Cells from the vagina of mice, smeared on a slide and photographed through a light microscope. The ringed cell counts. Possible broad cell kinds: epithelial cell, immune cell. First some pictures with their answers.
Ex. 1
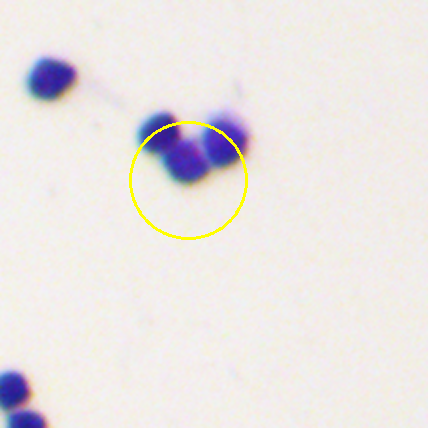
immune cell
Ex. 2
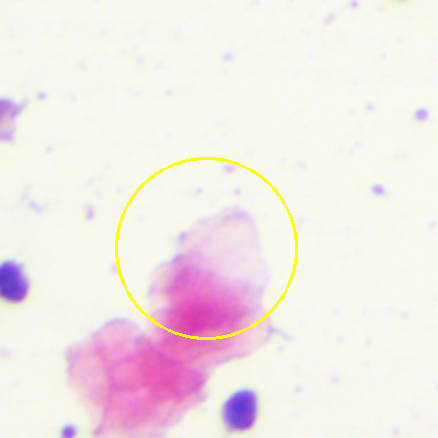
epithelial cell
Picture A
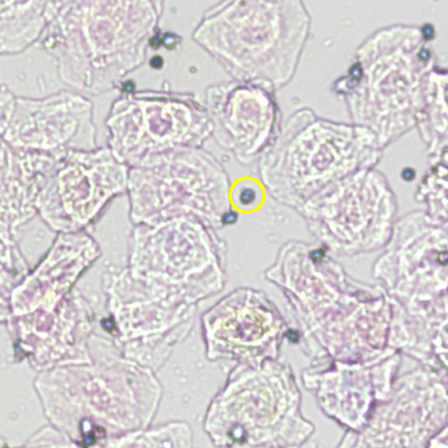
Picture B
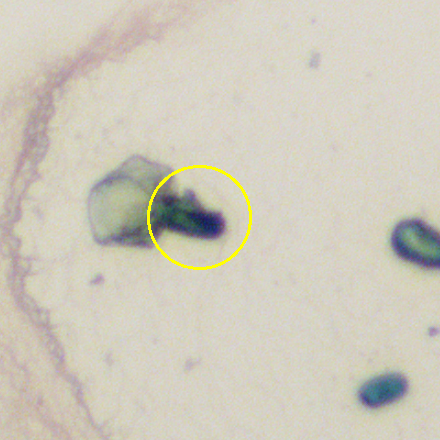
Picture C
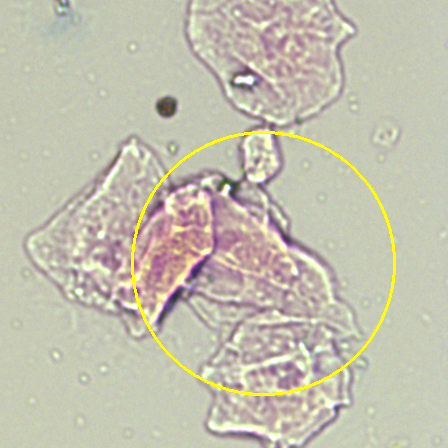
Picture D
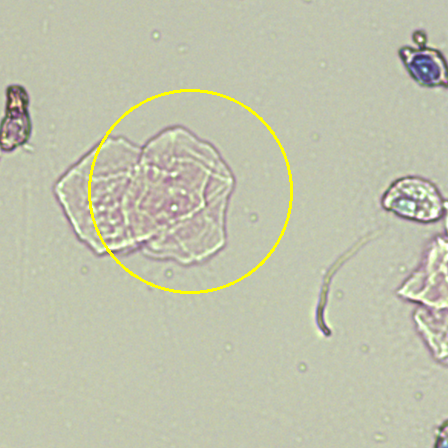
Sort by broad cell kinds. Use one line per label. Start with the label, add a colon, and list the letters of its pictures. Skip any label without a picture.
epithelial cell: B, C, D
immune cell: A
